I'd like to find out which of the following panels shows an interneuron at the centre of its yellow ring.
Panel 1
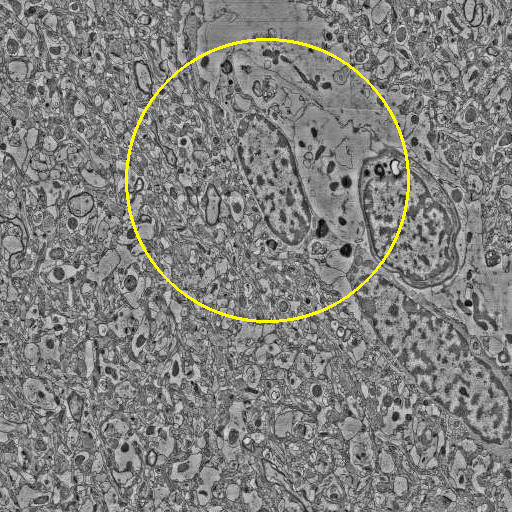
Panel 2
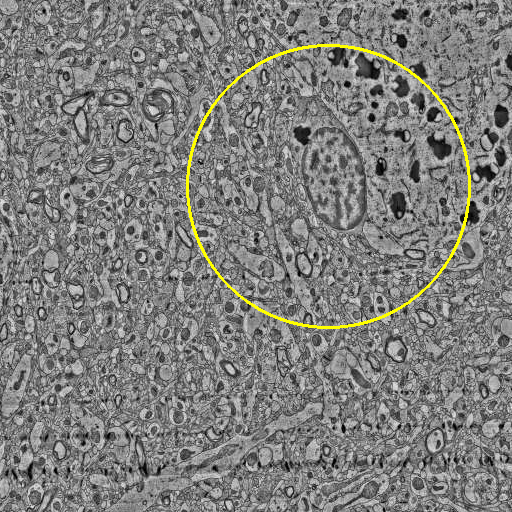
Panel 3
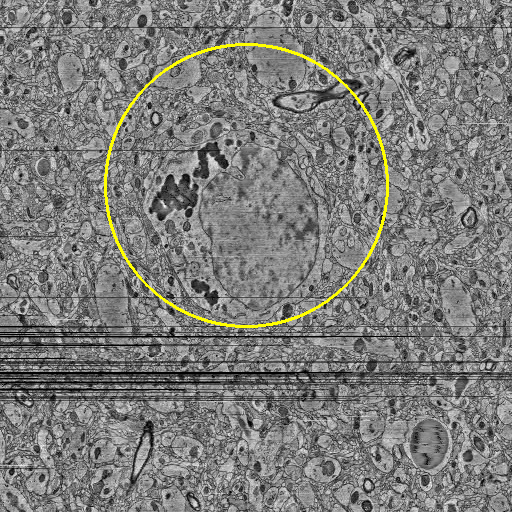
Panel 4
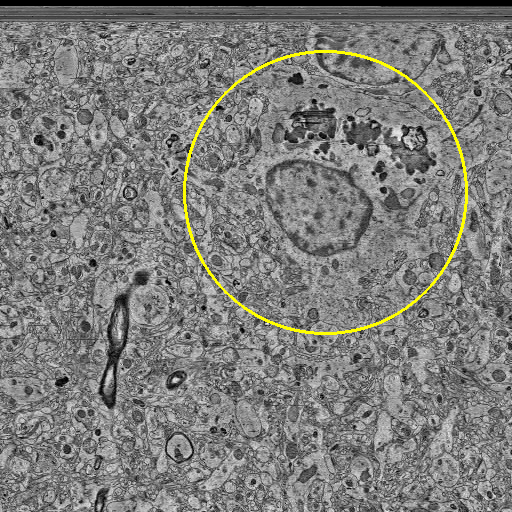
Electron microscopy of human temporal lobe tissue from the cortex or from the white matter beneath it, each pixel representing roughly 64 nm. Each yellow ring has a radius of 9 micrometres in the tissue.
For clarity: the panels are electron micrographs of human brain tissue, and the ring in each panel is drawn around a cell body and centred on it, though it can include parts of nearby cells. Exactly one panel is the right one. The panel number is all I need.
3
